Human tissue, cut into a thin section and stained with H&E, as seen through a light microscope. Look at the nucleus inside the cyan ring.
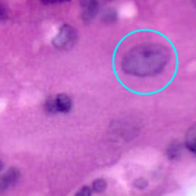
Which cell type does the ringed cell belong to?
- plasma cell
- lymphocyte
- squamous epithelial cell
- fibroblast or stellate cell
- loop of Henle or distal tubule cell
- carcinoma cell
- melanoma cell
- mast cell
squamous epithelial cell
